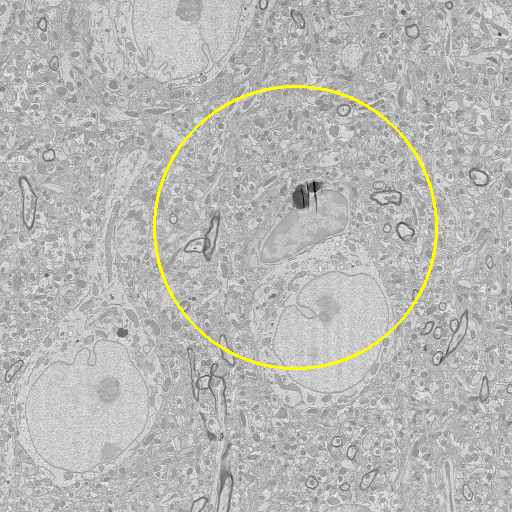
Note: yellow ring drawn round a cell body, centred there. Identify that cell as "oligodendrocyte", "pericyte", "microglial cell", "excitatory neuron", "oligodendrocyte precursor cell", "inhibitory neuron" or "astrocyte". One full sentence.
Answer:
The cell in the middle of the ring is a microglial cell.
